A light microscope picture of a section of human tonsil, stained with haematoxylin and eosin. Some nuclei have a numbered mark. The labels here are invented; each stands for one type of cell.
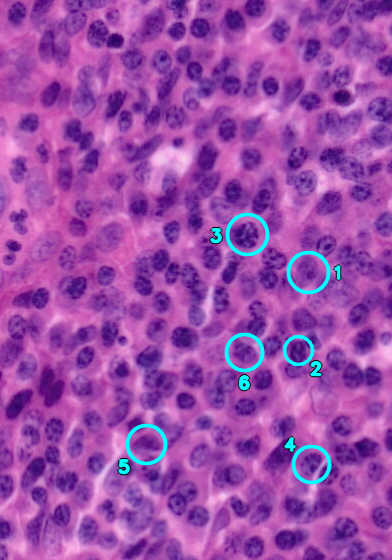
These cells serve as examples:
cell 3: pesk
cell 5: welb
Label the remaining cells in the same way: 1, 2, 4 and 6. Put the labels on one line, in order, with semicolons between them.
welb; pesk; pesk; pesk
